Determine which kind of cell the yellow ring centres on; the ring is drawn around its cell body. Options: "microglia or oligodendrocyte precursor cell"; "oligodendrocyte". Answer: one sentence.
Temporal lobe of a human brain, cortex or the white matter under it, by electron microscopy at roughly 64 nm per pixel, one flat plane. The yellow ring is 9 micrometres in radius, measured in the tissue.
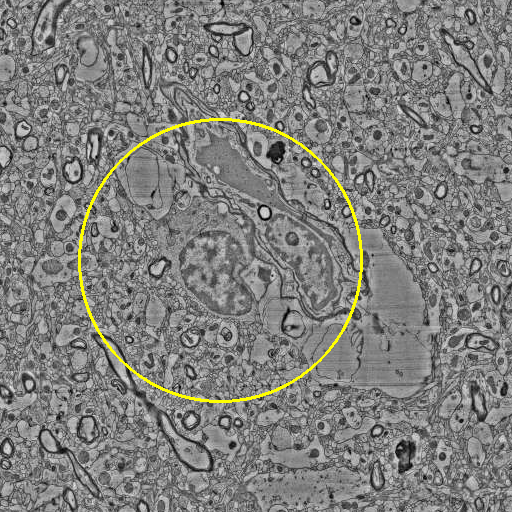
The ring centres on an oligodendrocyte.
